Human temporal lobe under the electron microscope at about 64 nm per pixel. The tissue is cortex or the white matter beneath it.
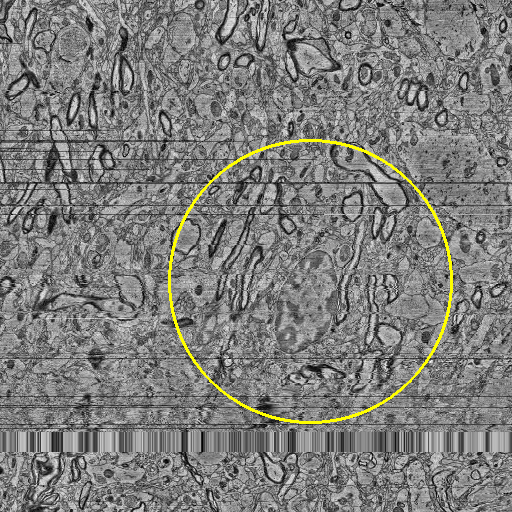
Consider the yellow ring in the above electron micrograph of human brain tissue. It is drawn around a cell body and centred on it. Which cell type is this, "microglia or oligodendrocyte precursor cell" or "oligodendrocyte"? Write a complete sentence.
The cell in question is a microglial cell or oligodendrocyte precursor cell.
